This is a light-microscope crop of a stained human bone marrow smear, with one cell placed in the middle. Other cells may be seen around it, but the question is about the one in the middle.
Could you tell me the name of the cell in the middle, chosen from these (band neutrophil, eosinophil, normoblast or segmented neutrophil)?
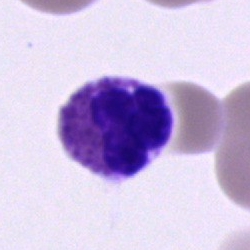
eosinophil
